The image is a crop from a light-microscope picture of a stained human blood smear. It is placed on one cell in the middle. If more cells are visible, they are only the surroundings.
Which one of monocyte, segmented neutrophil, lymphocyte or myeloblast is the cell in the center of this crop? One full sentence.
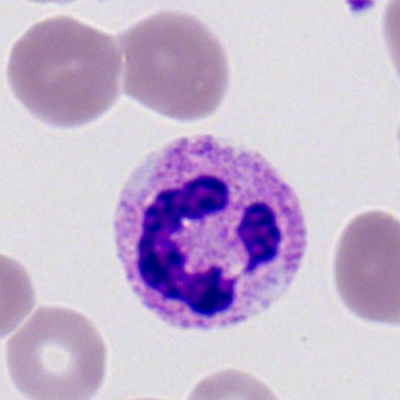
For this crop, the cell in the middle is a segmented neutrophil.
